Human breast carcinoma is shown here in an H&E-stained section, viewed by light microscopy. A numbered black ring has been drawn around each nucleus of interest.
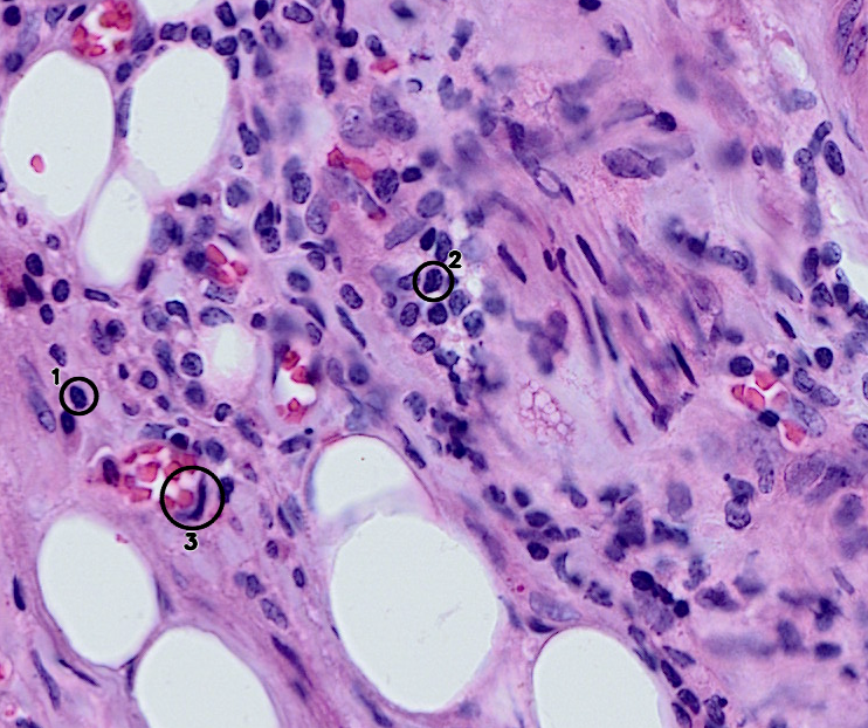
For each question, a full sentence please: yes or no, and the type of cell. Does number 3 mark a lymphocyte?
No, the cell with the number 3 is an endothelial cell, not a lymphocyte.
